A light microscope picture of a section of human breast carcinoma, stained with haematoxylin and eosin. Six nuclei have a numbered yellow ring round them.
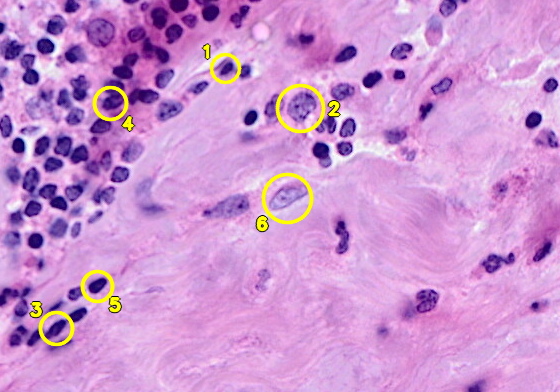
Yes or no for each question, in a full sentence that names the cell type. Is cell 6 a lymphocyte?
No, cell 6 is a fibroblast and should not be called a lymphocyte.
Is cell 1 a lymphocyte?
Yes, in this section the cell numbered 1 is a lymphocyte.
